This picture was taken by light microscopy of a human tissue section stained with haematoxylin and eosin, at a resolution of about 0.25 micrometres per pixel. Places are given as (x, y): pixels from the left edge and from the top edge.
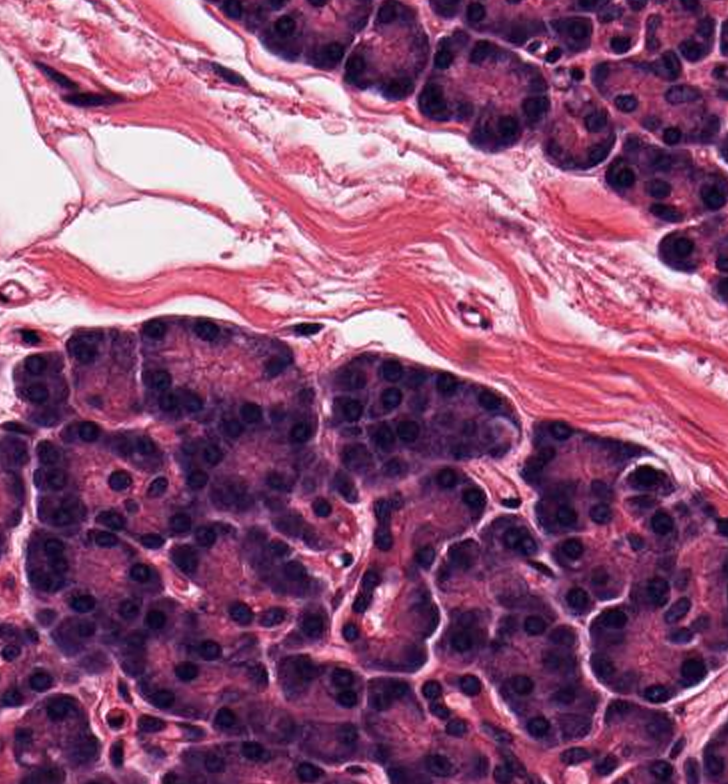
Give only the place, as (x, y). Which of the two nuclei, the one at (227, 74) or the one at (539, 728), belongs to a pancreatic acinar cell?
(539, 728)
